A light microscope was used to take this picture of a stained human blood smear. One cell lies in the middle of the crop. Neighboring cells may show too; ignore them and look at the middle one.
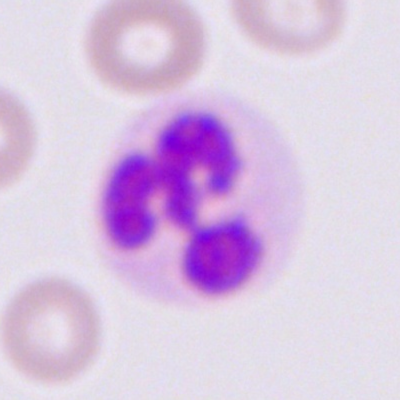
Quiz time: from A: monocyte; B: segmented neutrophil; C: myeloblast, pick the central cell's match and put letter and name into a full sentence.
The central cell in this crop is a segmented neutrophil, corresponding to option B, the correct option.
